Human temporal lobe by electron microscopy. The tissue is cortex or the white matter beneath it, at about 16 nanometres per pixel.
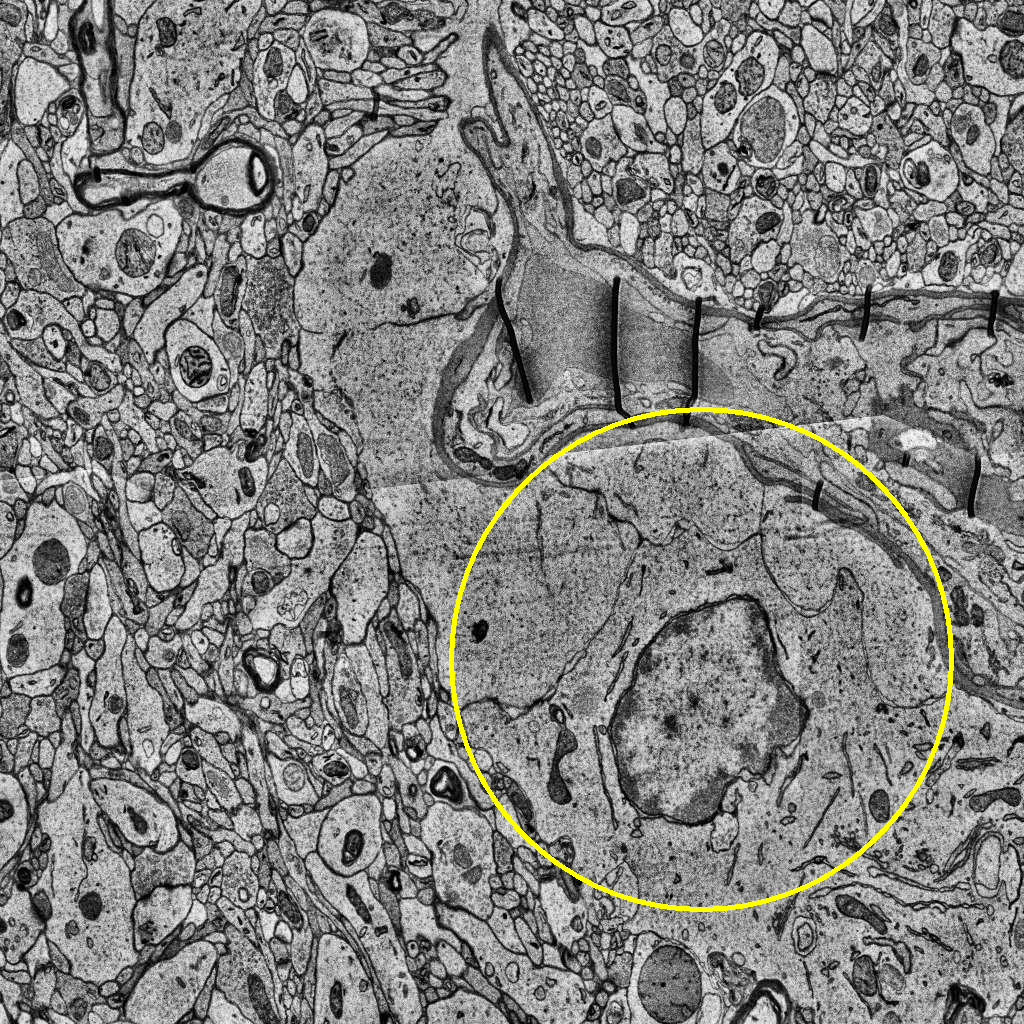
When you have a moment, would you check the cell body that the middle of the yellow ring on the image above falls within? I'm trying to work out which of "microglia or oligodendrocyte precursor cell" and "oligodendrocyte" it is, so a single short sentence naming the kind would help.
This cell body belongs to a microglial cell or oligodendrocyte precursor cell.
